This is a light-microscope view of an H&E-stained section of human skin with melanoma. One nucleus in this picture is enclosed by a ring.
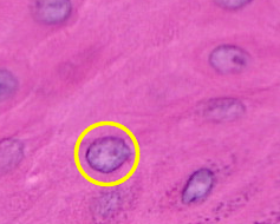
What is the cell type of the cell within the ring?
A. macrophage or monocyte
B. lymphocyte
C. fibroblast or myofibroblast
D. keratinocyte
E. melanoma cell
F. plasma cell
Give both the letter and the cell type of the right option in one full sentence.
Hey, it is option D: the cell within the ring is a keratinocyte.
